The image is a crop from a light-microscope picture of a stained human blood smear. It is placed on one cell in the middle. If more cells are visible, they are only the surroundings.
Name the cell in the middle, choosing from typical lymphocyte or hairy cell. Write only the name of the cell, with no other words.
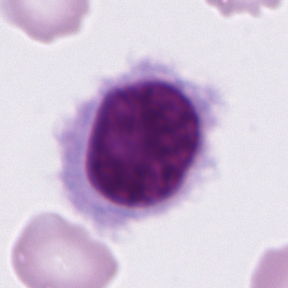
hairy cell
